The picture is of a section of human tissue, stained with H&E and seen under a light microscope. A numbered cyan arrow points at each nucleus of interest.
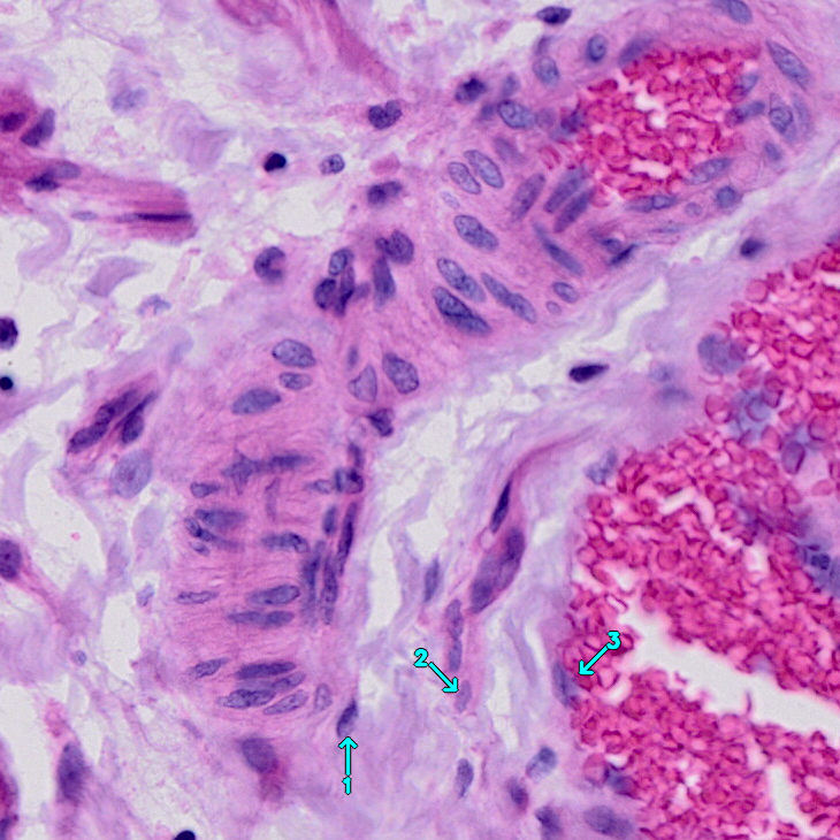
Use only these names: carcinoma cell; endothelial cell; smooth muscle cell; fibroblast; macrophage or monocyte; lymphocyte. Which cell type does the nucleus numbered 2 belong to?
smooth muscle cell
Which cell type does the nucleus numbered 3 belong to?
endothelial cell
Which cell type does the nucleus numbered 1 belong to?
fibroblast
